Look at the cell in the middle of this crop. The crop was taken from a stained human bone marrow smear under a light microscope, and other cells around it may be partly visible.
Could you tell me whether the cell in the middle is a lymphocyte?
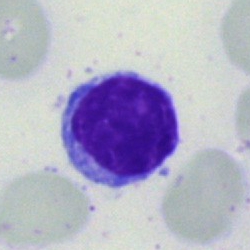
yes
